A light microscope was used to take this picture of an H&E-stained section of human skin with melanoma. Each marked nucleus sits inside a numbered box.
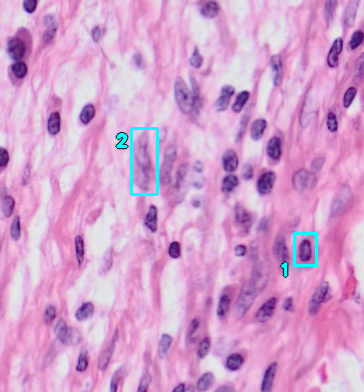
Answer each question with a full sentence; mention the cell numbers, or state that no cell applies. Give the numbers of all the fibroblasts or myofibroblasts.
The numbered cell that is a fibroblast or myofibroblast is cell 2, and it is the only one.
